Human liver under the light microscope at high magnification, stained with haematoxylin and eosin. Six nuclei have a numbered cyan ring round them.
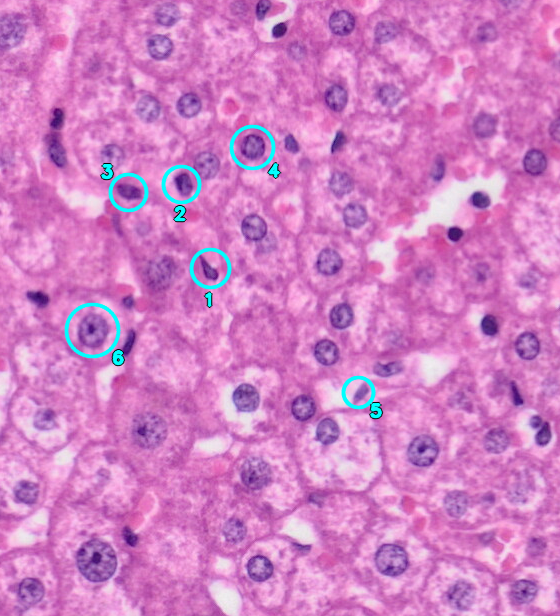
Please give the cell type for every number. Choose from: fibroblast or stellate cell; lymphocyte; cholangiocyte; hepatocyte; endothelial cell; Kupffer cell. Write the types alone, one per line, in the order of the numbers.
endothelial cell
Kupffer cell
fibroblast or stellate cell
hepatocyte
lymphocyte
hepatocyte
